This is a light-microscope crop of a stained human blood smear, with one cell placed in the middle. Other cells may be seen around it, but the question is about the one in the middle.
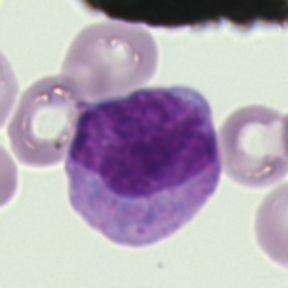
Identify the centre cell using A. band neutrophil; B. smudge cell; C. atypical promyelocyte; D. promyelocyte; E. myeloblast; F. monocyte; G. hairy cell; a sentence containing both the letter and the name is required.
Option C is correct; the cell in the middle is an atypical promyelocyte.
